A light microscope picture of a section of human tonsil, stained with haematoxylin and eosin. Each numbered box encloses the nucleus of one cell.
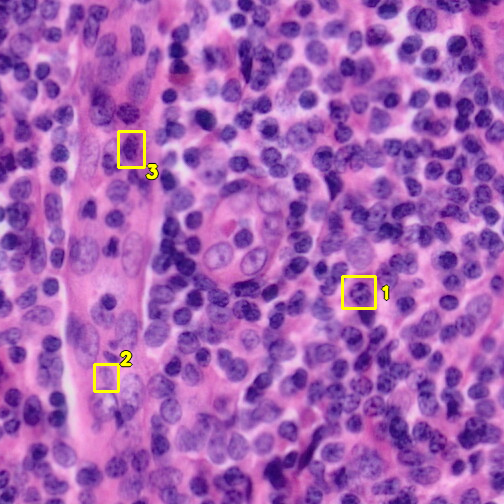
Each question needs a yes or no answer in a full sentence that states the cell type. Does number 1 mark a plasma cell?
Yes, the cell denoted by 1 is a plasma cell.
